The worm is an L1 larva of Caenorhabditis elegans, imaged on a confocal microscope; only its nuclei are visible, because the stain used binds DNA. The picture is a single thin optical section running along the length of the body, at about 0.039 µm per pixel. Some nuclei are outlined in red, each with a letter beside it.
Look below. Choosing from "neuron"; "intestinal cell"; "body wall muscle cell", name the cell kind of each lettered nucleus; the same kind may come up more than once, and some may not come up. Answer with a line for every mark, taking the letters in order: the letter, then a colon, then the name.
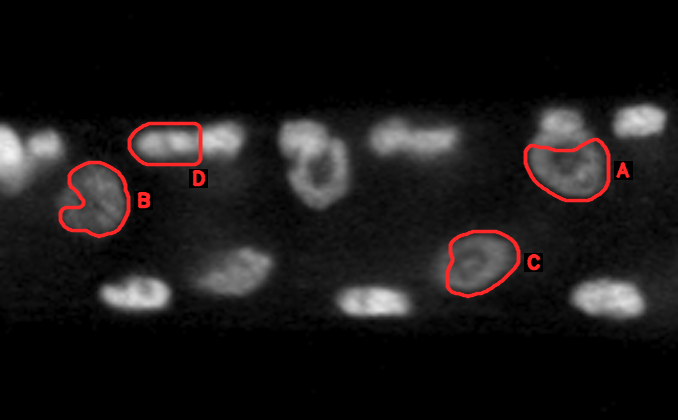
A: intestinal cell
B: intestinal cell
C: intestinal cell
D: body wall muscle cell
